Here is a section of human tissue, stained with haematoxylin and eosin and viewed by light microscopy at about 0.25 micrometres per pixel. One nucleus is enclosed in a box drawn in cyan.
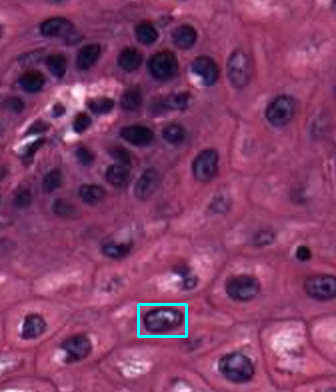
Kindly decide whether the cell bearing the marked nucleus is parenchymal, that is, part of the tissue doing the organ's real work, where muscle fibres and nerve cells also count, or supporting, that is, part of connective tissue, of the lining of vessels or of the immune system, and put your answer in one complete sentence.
The marked nucleus is found in a parenchymal cell, namely a squamous epithelial cell.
